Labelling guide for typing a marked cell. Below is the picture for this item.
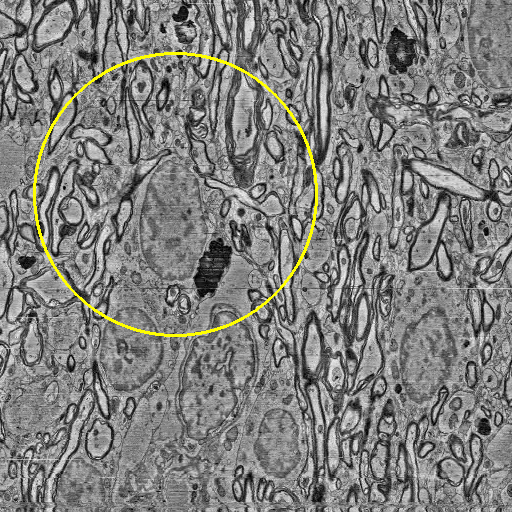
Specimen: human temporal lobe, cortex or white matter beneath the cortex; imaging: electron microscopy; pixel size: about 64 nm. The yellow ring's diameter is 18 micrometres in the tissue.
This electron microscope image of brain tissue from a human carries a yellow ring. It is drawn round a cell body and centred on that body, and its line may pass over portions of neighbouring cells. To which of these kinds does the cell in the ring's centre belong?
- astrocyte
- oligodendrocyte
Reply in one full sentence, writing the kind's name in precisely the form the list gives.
Here we have an oligodendrocyte at the centre of the yellow ring in the picture.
